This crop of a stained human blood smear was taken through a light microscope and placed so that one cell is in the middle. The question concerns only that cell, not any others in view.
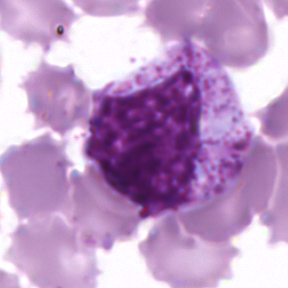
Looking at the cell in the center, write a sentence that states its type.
What sits at the centre of this crop is a myelocyte.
